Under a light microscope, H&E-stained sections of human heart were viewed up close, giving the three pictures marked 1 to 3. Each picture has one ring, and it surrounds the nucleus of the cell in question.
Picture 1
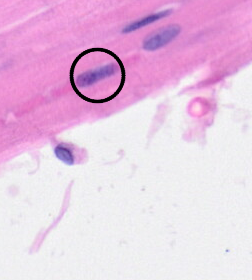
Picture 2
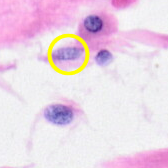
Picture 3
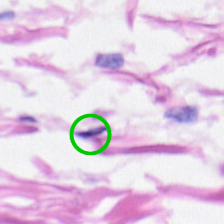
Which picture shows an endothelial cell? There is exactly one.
1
